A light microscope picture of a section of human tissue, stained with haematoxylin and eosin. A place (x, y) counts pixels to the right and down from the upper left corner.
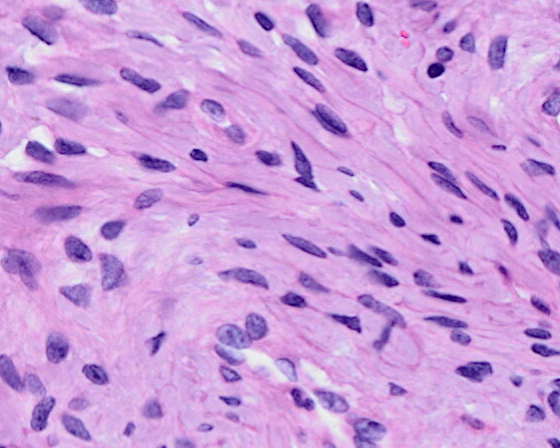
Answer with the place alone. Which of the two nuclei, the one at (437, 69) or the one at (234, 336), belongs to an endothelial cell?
(234, 336)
